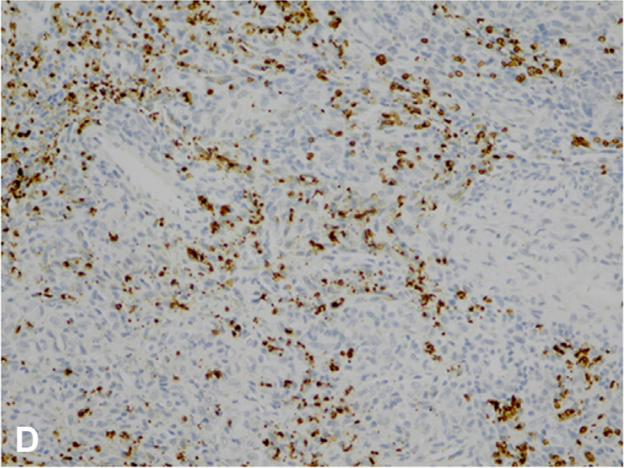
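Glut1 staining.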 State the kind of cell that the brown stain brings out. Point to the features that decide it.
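Erythrocytes. Brown stain lies in small, round, anucleate bodies scattered in clusters. The spindle cells with blue nuclei around them are unstained.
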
